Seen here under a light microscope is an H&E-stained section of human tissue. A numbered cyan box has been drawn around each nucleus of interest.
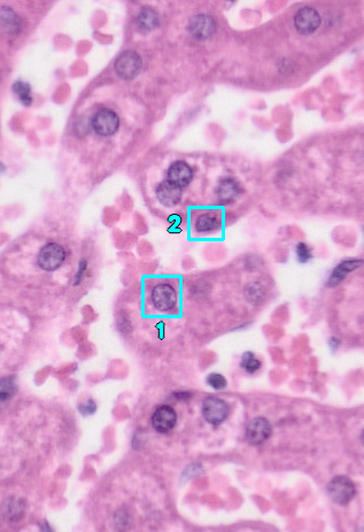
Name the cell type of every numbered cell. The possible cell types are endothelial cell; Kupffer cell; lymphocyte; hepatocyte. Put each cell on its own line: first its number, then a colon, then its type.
1: hepatocyte
2: Kupffer cell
